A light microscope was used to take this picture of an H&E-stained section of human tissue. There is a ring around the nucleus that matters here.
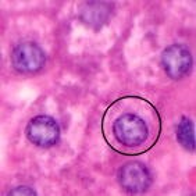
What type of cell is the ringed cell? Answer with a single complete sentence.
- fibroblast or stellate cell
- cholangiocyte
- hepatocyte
To be brief about it, the ringed cell is a hepatocyte.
